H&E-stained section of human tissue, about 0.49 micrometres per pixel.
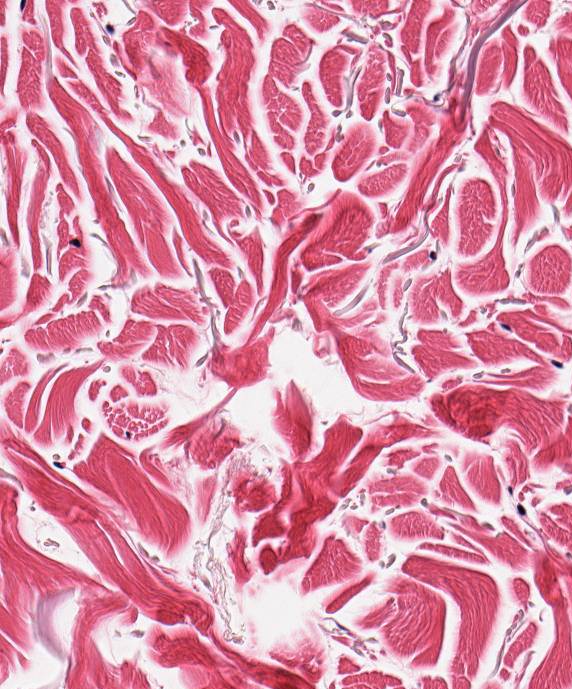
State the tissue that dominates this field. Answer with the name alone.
dermis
